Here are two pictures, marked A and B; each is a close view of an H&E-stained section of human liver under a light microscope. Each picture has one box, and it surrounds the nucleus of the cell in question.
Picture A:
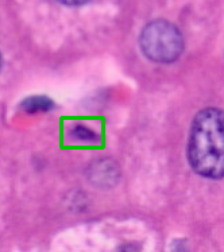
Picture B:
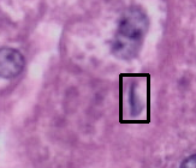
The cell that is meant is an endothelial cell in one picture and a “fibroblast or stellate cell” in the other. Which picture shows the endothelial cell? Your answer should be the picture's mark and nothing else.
B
